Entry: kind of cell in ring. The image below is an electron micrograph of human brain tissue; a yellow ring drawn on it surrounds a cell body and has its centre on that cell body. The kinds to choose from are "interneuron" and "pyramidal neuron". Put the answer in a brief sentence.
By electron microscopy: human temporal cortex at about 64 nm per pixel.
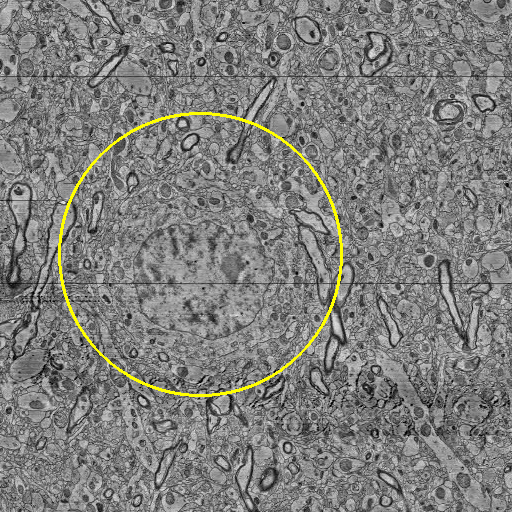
The ring has been drawn around an interneuron.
